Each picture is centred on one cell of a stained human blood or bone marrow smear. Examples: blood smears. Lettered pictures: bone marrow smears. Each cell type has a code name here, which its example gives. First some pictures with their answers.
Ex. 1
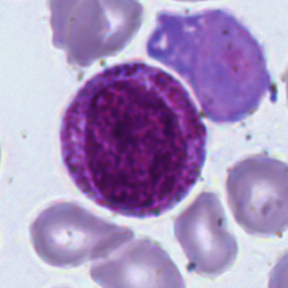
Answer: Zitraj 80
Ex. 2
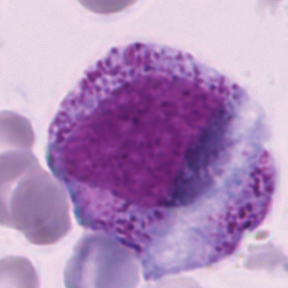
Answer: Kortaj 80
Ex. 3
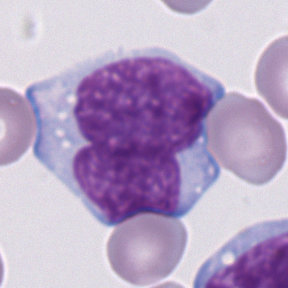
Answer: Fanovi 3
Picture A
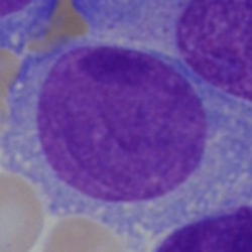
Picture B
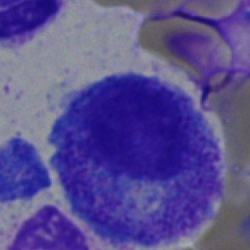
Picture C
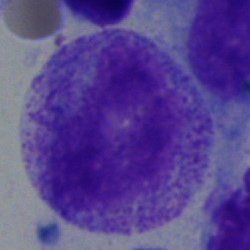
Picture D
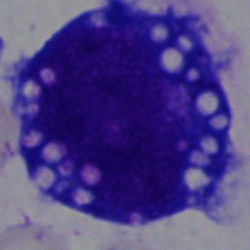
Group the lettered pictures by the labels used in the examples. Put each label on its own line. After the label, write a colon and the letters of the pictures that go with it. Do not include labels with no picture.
Zitraj 80: B, C
Fanovi 3: A, D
